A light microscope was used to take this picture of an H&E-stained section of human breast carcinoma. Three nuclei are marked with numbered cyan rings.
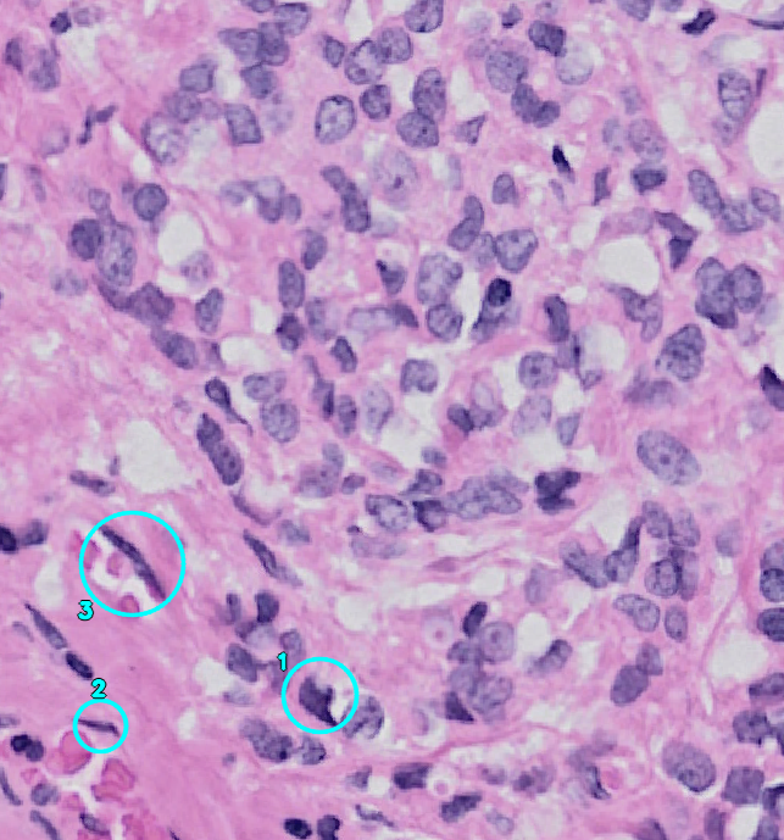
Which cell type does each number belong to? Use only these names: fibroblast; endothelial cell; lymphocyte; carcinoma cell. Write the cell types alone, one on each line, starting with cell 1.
carcinoma cell
endothelial cell
endothelial cell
